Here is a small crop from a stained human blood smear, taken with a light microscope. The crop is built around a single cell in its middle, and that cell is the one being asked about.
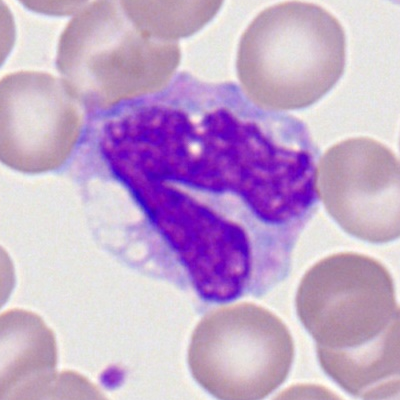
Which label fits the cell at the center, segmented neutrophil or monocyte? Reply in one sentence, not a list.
The cell at the central position in this crop is a monocyte.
